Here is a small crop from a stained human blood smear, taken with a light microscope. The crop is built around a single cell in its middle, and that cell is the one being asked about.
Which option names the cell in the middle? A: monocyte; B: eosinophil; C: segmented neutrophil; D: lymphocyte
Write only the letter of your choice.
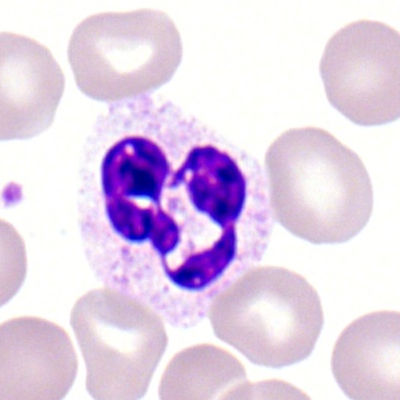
C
